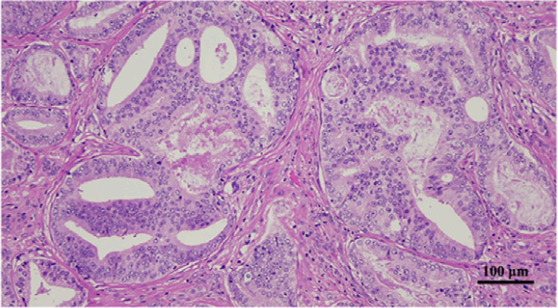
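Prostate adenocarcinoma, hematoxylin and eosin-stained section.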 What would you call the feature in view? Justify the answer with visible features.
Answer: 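Cribriform pattern. Rounded nests of epithelium contain several punched-out lumina. Some lumina hold pale, wispy pink material.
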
